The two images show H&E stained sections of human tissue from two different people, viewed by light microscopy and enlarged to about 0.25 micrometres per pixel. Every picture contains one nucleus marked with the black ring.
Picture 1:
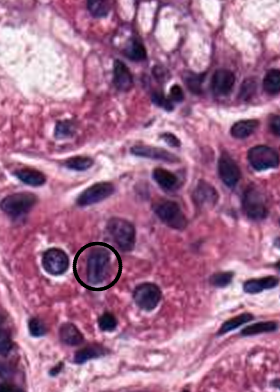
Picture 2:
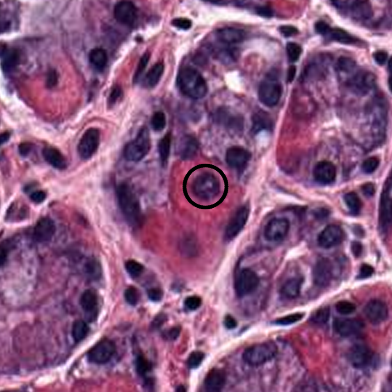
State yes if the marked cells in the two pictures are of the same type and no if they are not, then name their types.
Yes, both are parietal cells.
